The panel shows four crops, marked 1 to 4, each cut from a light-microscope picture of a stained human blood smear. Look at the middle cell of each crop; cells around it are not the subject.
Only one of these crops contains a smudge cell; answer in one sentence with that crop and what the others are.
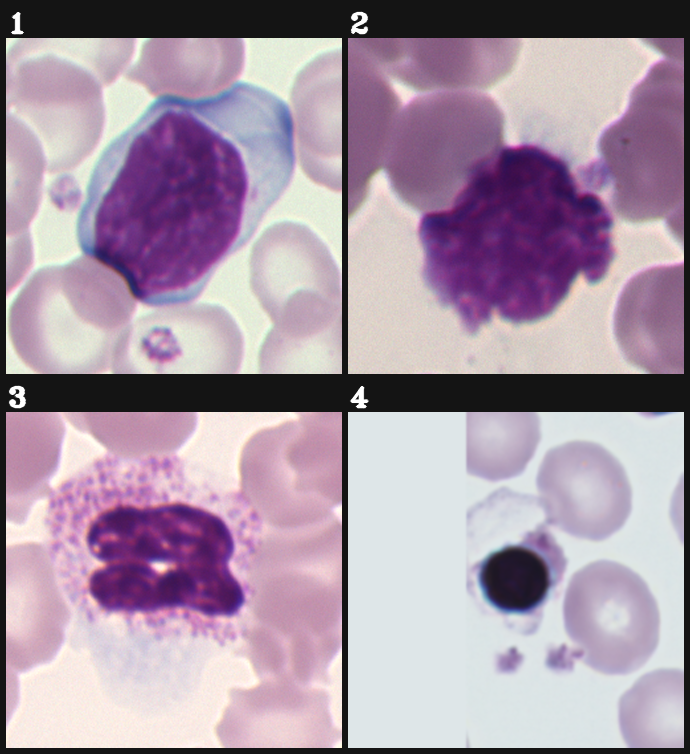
Of the crops, crop 2 shows a smudge cell, while crop 1 is a typical lymphocyte, crop 3 is a segmented neutrophil and crop 4 is a normoblast.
